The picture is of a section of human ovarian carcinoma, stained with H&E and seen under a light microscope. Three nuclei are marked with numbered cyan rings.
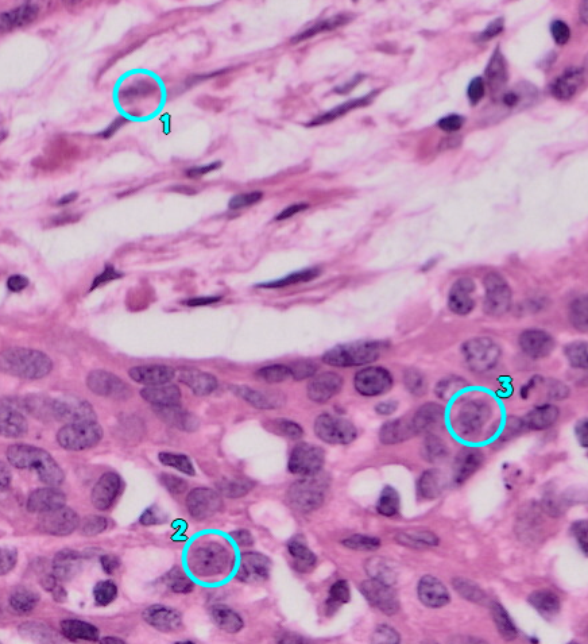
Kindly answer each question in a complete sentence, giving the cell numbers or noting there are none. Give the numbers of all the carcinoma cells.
The cells that have numbers 2 and 3 are carcinoma cells.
